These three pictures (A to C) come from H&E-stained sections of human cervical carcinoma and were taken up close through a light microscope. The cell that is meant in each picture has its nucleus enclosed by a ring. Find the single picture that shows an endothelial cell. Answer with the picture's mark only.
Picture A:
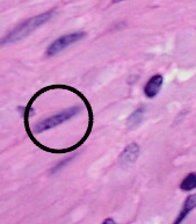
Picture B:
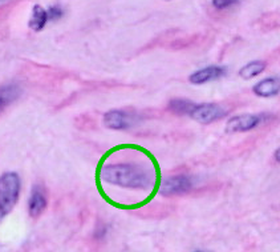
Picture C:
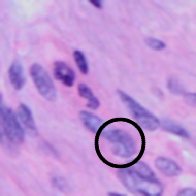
C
